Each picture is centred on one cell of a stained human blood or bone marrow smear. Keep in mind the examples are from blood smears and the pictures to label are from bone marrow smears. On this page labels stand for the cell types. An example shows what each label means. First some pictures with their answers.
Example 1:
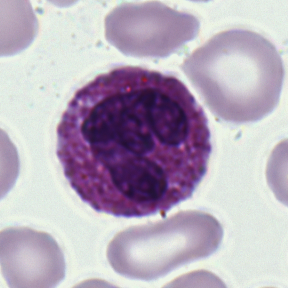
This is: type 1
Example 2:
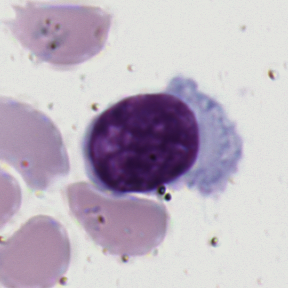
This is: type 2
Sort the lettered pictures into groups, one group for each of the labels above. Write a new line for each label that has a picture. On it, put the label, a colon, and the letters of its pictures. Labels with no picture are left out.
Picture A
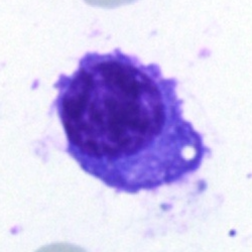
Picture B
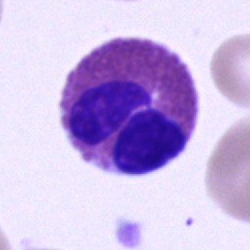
type 1: B
type 2: A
